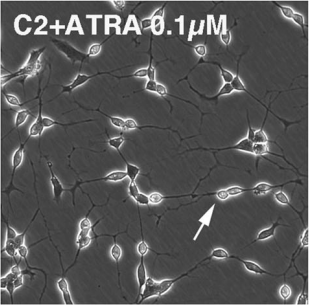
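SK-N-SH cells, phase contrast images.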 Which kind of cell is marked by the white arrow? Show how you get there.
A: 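The arrowed cell has a small, rounded, phase-bright cell body. Thin, long processes run out from the rounded cell body. Many similar rounded cell bodies are linked by a network of fine processes.
Highly rounded, neuron-like cells.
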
